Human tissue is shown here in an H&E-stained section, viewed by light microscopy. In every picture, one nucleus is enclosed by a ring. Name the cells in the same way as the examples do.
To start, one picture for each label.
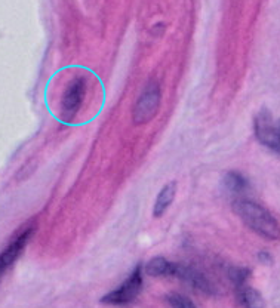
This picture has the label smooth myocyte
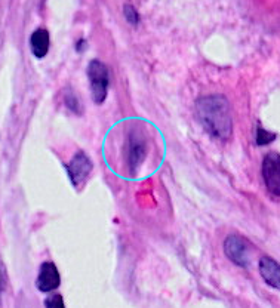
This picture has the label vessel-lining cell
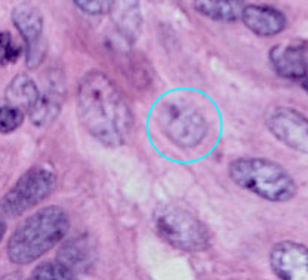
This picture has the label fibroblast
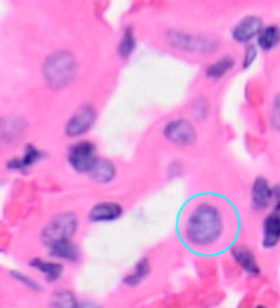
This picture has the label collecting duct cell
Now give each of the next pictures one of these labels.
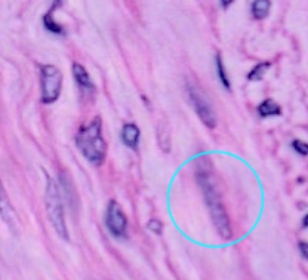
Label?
smooth myocyte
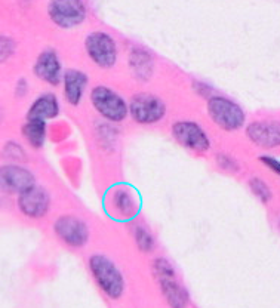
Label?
collecting duct cell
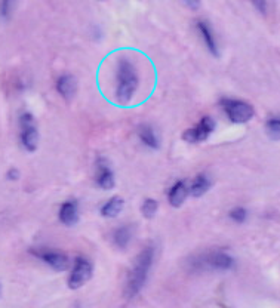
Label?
fibroblast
